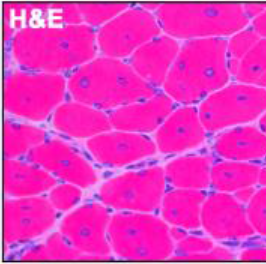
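Cross-section of skeletal muscle with closely packed polygonal pink fibers of fairly similar size. Most fibers show a single nucleus in the centre rather than at the edge. Thin pale interstitium separates the fibers, with few scattered small nuclei.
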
